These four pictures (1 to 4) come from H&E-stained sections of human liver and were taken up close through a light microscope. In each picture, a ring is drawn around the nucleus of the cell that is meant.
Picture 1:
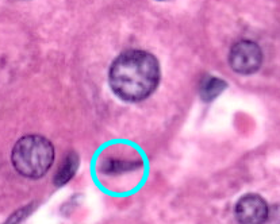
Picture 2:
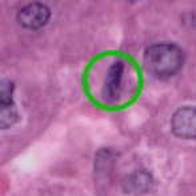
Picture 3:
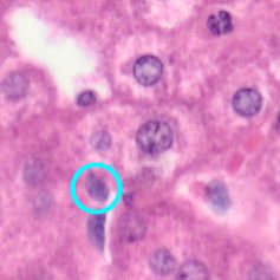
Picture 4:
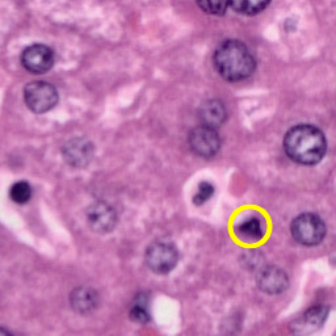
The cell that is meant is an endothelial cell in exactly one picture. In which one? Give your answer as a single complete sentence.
Picture 3 shows the endothelial cell.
